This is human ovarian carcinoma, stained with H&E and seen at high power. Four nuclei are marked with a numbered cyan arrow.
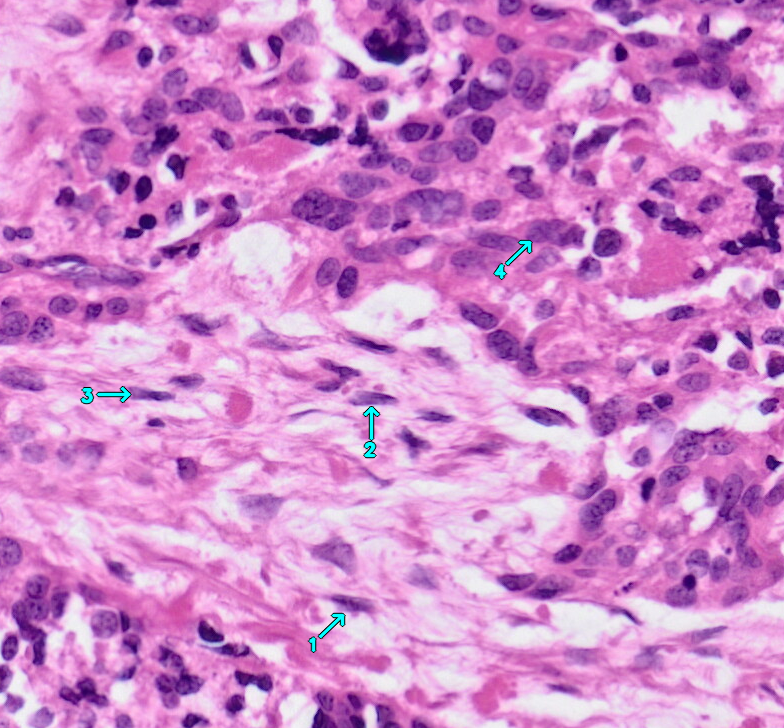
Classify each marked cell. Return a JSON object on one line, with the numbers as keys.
{"1": "fibroblast", "2": "fibroblast", "3": "fibroblast", "4": "carcinoma cell"}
